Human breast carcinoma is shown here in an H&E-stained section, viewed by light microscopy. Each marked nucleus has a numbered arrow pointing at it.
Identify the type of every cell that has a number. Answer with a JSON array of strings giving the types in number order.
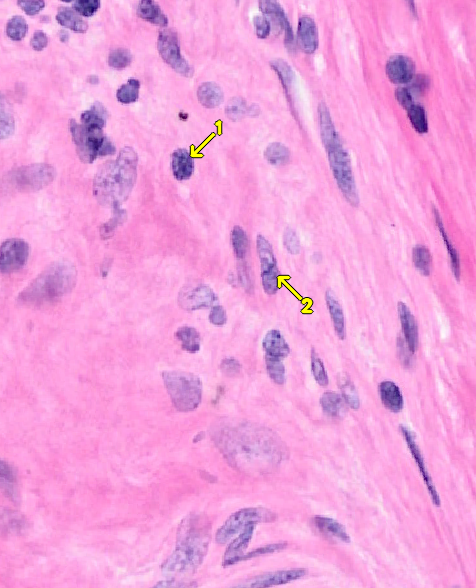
["lymphocyte", "endothelial cell"]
